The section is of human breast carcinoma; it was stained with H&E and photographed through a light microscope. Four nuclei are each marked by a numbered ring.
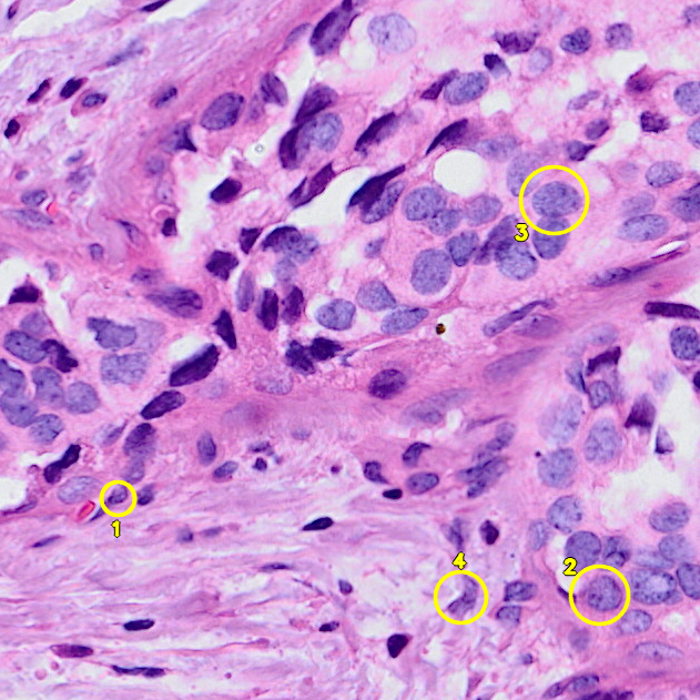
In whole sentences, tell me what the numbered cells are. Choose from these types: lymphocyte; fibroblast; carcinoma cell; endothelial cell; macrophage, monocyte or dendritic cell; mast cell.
Cell 1 is an endothelial cell, cell 2 is a carcinoma cell, cell 3 is a carcinoma cell and cell 4 is a fibroblast.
